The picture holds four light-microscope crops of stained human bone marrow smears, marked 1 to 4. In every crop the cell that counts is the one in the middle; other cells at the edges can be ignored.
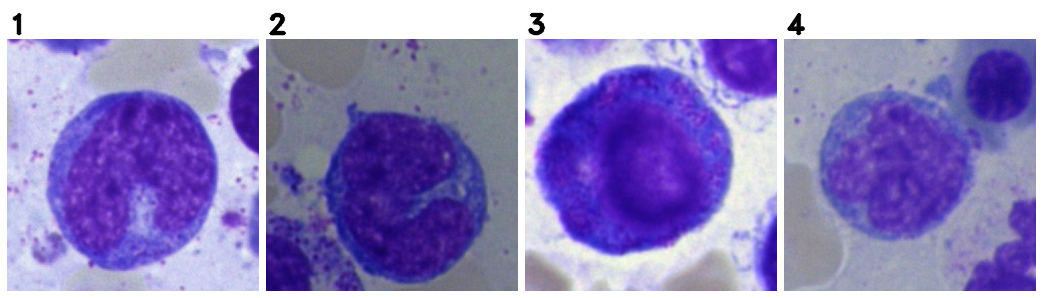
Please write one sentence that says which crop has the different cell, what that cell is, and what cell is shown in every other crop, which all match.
The remaining crops are all monocytes, so crop 3, being a promyelocyte, is the exception.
